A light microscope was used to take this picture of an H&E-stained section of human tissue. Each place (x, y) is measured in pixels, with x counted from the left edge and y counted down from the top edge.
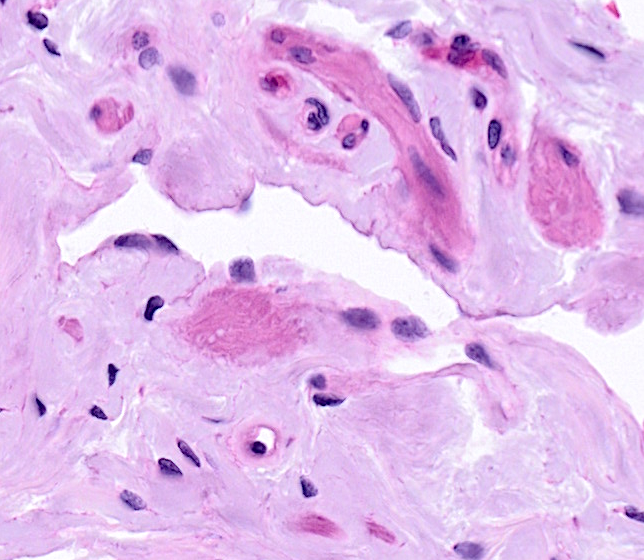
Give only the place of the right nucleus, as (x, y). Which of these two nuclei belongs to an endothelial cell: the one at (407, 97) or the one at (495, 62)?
(495, 62)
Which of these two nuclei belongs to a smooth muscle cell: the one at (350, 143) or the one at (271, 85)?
(350, 143)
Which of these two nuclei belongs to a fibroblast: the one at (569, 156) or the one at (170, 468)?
(170, 468)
